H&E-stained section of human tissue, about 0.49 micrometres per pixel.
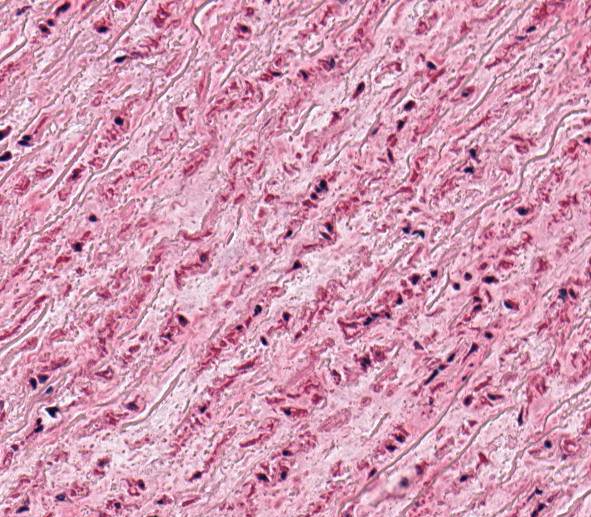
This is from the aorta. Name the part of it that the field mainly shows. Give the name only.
tunica media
